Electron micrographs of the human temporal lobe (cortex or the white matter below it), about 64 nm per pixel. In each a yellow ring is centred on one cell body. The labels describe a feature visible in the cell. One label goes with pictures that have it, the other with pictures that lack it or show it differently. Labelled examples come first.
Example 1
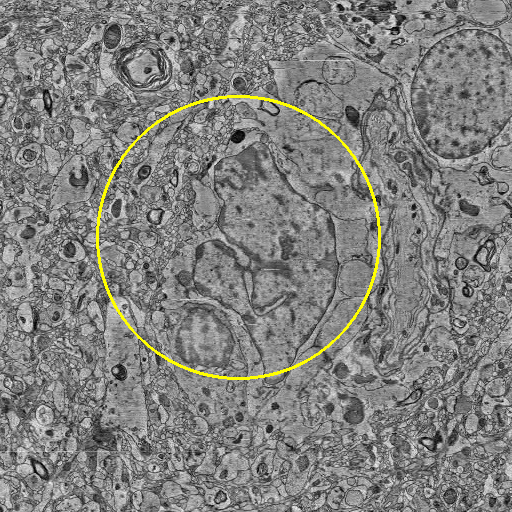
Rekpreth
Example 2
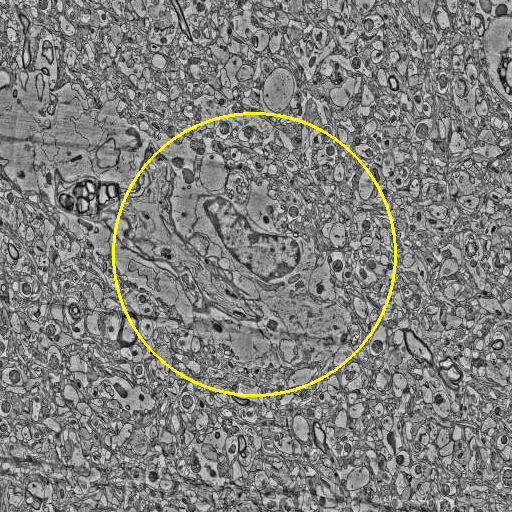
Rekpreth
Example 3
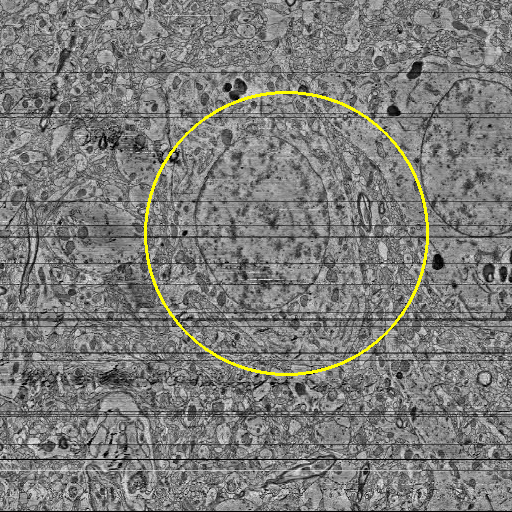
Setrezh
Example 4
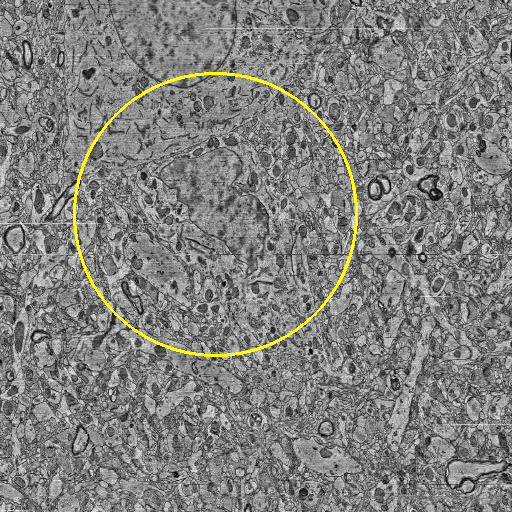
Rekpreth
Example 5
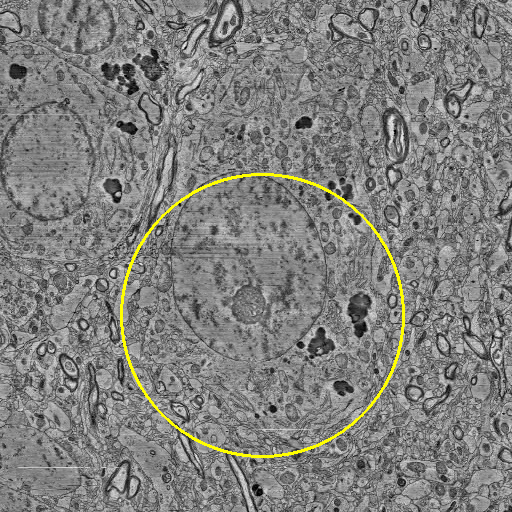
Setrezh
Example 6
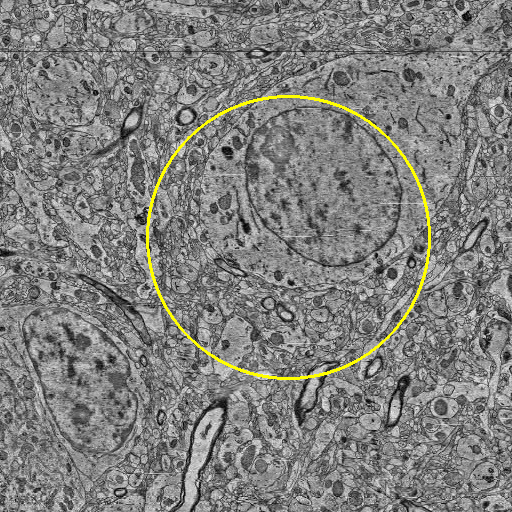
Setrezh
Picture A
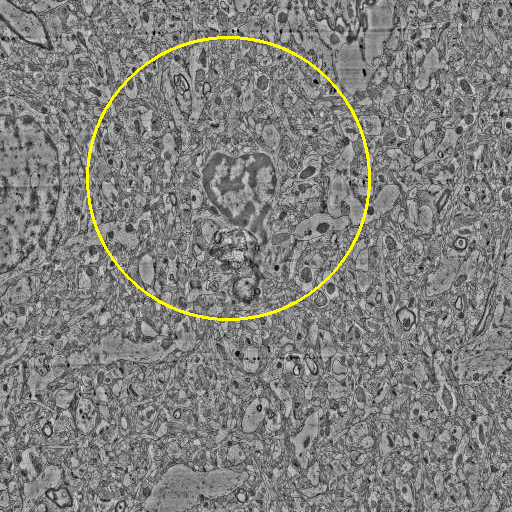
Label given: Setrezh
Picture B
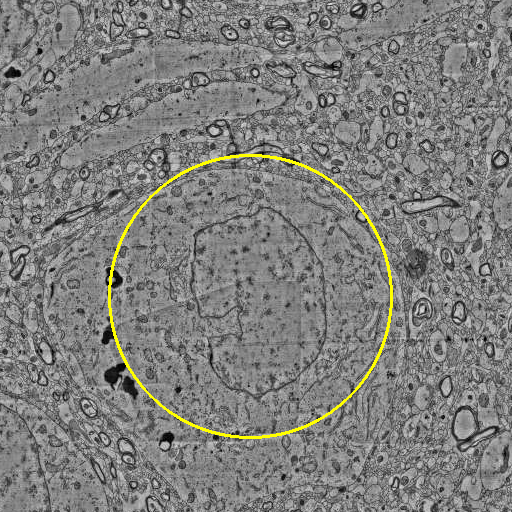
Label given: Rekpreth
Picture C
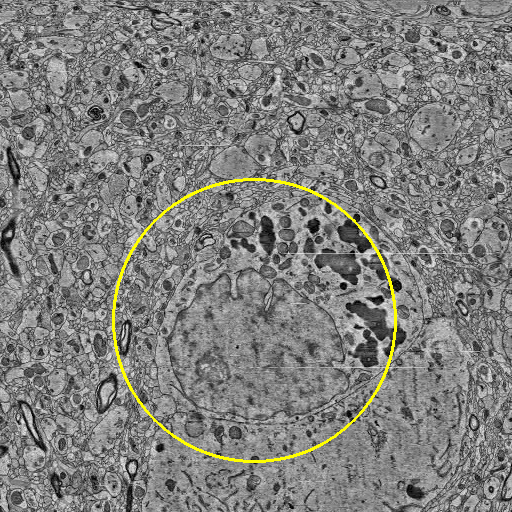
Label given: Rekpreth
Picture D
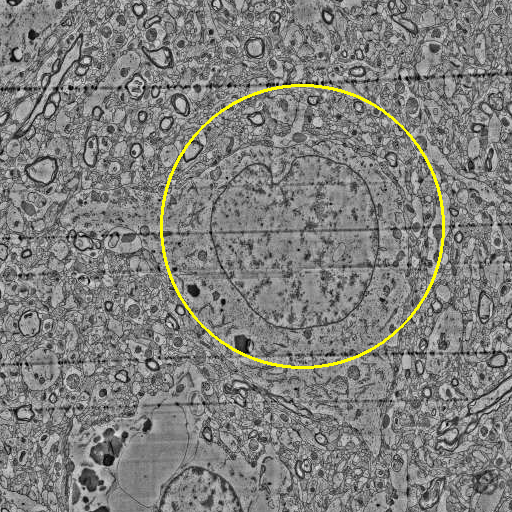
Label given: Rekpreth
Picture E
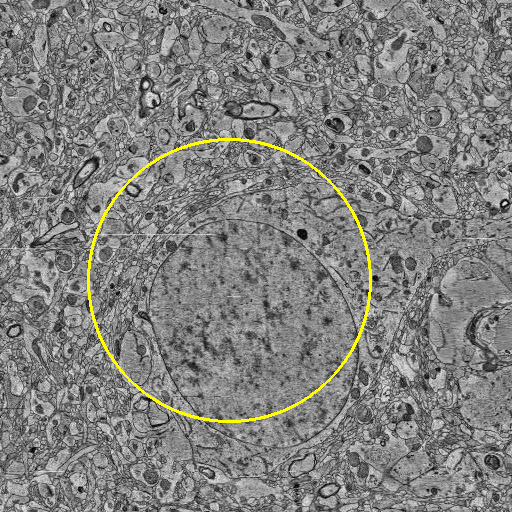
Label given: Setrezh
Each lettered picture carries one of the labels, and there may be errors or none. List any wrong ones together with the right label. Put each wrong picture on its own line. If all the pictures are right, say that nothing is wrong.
A: change Setrezh to Rekpreth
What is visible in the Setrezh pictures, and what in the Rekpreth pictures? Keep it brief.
Seen in Setrezh: smooth nuclear envelopes without deep folds; seen in Rekpreth: deeply folded or indented nuclear envelopes.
